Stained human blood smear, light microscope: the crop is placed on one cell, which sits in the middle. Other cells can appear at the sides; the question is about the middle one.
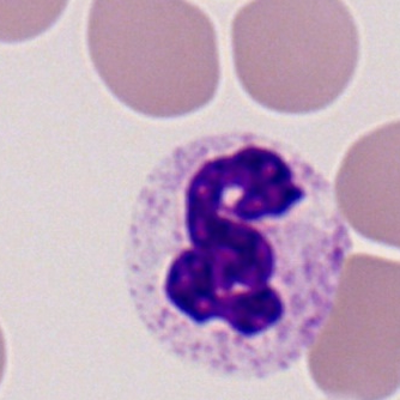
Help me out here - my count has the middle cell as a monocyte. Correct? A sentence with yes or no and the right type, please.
No, the central cell is classed as a segmented neutrophil and not as a monocyte.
